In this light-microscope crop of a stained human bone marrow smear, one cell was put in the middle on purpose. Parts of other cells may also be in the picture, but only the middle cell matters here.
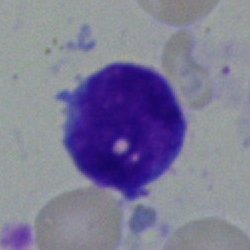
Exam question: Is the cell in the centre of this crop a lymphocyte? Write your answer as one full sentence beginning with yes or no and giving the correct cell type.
No, the central cell is properly termed a blast, not a lymphocyte.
